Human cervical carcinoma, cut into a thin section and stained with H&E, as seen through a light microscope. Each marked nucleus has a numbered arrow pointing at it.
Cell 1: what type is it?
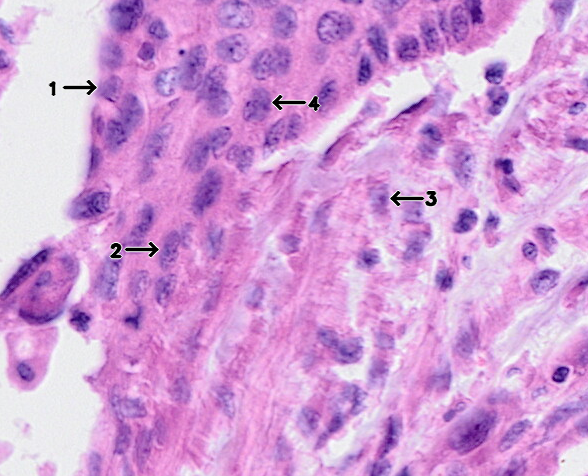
squamous carcinoma cell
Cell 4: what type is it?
squamous carcinoma cell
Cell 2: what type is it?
squamous carcinoma cell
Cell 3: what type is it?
fibroblast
